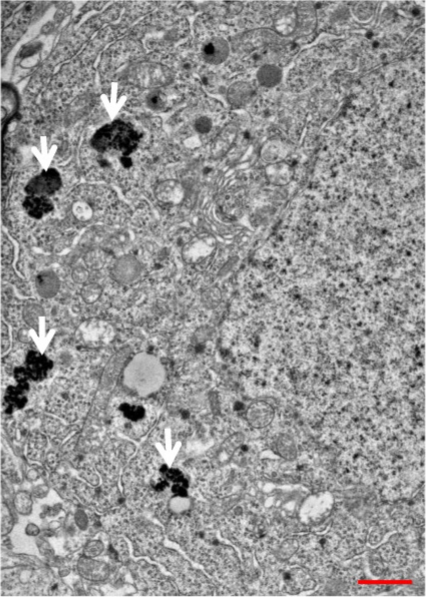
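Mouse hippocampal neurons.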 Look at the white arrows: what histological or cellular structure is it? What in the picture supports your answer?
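Each arrow points to a clump of very dark, electron-dense granules. Several such clumps are scattered through the cytoplasm. The answer: lipofuscins.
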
